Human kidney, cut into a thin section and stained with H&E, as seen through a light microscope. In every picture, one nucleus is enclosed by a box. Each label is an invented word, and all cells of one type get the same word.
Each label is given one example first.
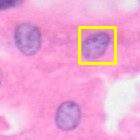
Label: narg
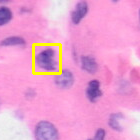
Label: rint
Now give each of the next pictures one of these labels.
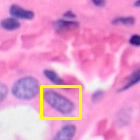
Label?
rint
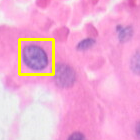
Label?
narg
